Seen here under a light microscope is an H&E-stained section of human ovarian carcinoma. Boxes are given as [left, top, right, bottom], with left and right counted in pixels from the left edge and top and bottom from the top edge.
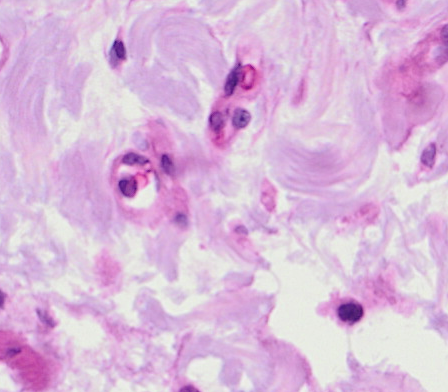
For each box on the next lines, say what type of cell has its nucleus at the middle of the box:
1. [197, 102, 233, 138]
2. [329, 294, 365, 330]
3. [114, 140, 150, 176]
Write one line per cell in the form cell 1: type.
cell 1: endothelial cell
cell 2: macrophage or monocyte
cell 3: endothelial cell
